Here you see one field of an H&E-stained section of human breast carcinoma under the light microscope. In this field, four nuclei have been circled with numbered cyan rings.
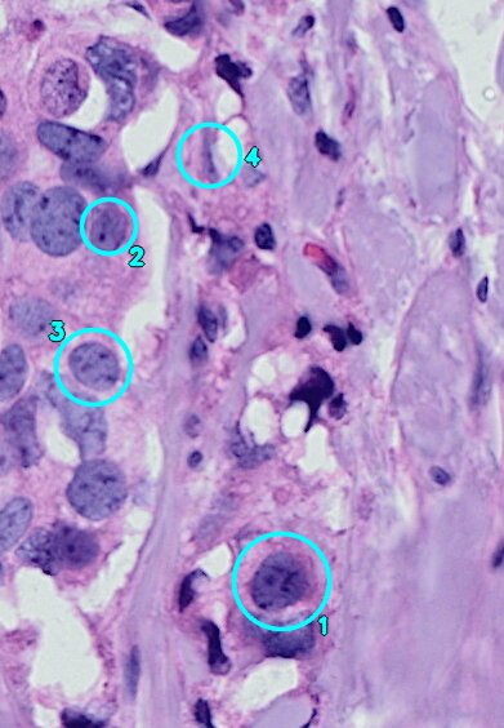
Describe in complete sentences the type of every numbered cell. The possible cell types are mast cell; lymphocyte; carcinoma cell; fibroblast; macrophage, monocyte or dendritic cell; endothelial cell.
Cells 1, 2 and 3 are carcinoma cells. Cell 4 is a fibroblast.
